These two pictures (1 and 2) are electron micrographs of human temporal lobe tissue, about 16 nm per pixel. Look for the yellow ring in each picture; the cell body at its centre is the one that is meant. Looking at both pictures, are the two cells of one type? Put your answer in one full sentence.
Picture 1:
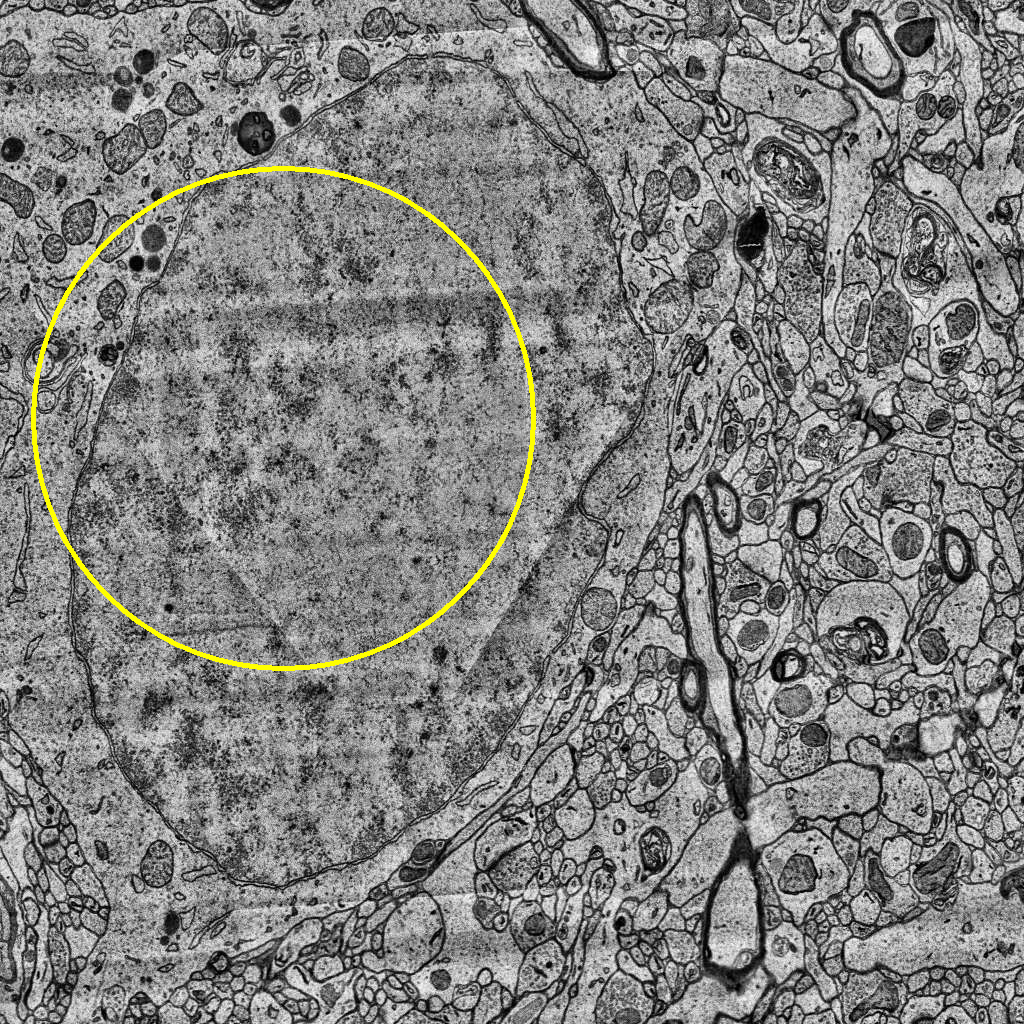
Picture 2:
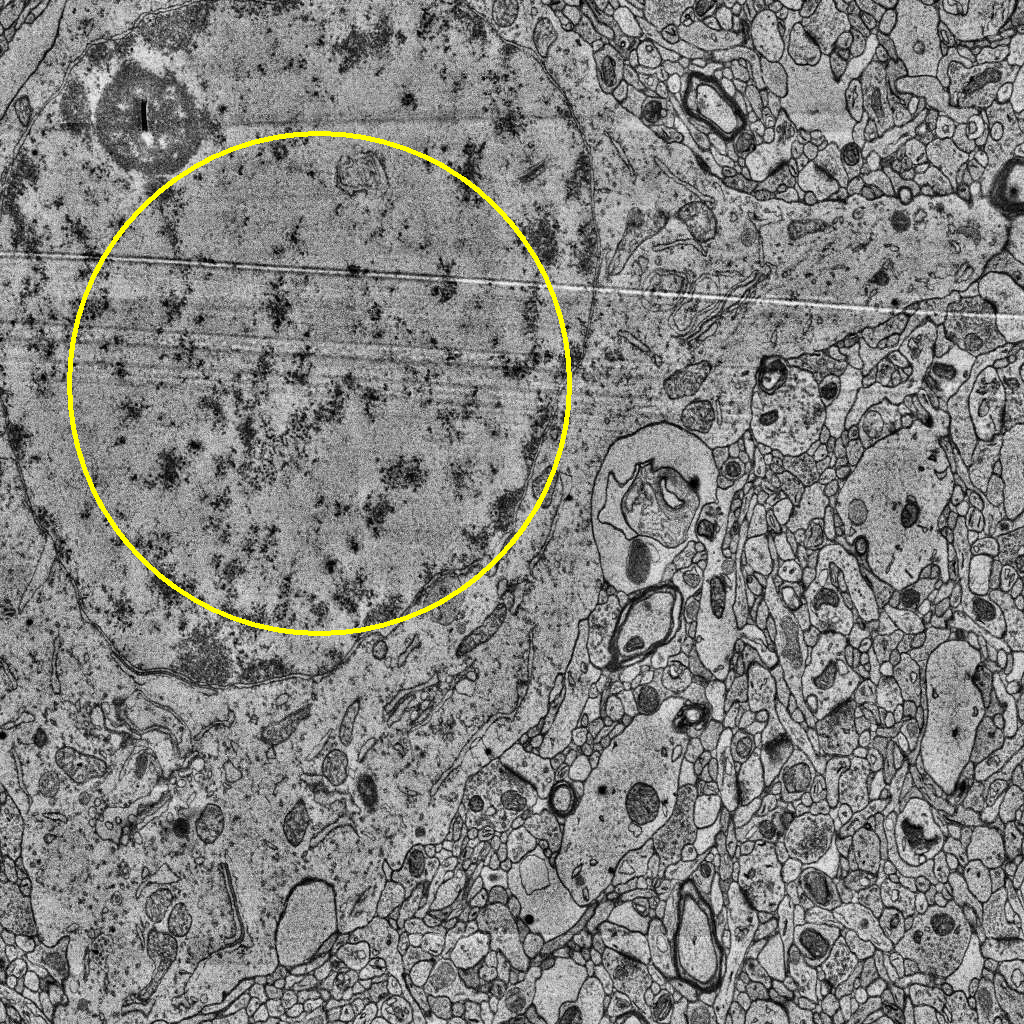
Yes, the two pictures both show interneurons.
